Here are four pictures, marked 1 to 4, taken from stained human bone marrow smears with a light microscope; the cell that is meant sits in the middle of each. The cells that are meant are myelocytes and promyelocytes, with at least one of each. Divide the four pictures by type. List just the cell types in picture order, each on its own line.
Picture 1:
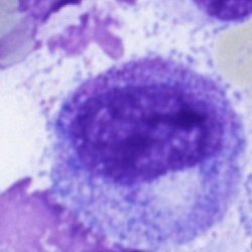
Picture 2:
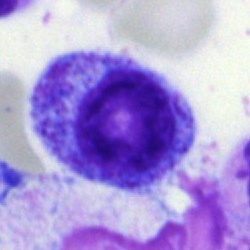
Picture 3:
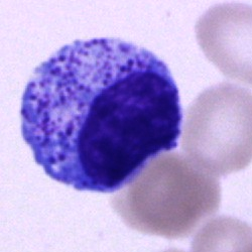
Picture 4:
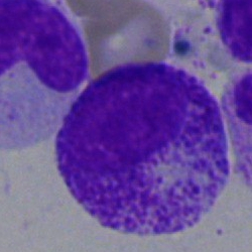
myelocyte
myelocyte
myelocyte
promyelocyte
